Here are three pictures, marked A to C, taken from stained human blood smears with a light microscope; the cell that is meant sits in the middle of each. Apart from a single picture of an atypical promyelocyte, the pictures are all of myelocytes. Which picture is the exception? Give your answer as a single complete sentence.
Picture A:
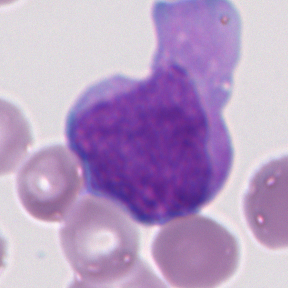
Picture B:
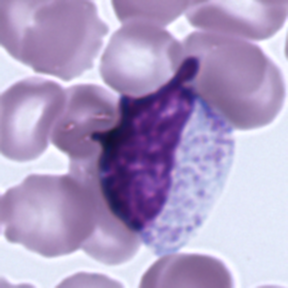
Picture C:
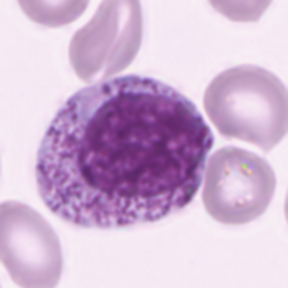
The picture with the atypical promyelocyte is A.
